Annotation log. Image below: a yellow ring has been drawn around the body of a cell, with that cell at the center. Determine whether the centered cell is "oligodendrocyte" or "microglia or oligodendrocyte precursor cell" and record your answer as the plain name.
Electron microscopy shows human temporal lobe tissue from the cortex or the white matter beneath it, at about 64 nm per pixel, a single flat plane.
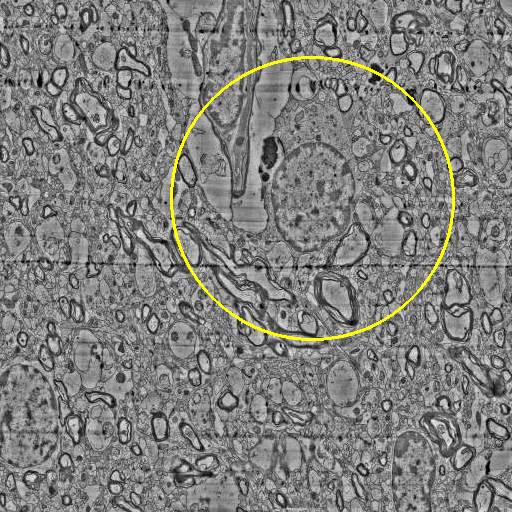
oligodendrocyte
